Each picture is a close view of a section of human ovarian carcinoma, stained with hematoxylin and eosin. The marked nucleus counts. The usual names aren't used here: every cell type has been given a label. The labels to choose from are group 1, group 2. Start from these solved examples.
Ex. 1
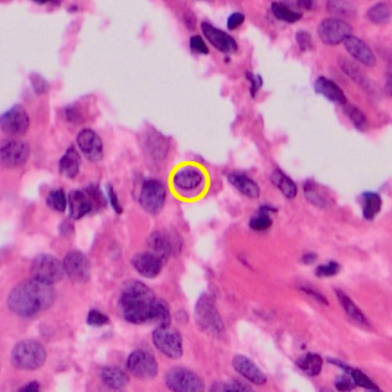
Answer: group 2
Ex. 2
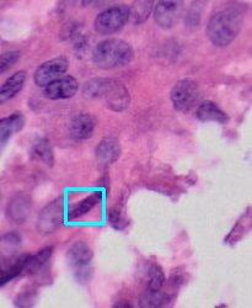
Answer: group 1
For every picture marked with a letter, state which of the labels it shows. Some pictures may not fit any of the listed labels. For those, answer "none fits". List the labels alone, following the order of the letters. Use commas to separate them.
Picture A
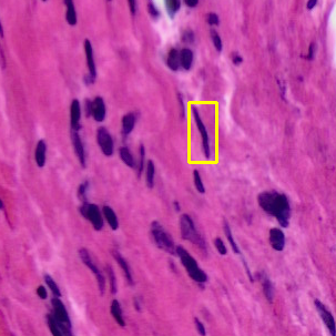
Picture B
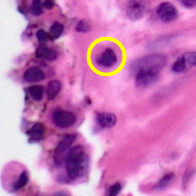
none fits, group 2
